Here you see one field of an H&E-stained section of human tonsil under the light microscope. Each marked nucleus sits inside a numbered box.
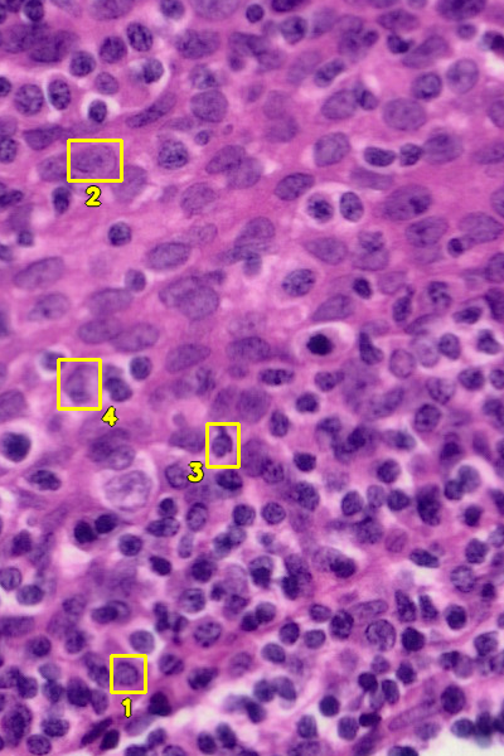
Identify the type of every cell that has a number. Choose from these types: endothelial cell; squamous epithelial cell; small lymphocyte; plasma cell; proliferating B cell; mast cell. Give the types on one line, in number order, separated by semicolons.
plasma cell; squamous epithelial cell; squamous epithelial cell; squamous epithelial cell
